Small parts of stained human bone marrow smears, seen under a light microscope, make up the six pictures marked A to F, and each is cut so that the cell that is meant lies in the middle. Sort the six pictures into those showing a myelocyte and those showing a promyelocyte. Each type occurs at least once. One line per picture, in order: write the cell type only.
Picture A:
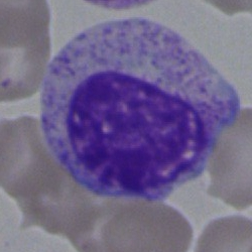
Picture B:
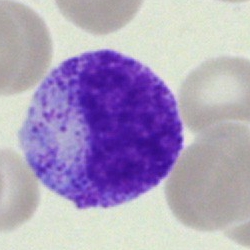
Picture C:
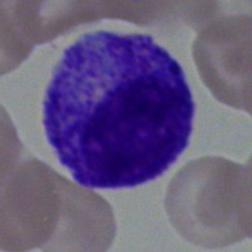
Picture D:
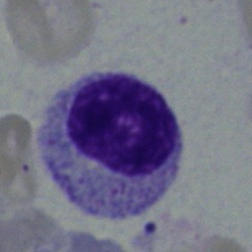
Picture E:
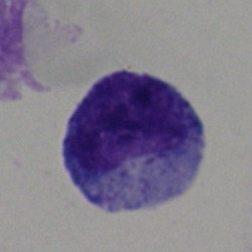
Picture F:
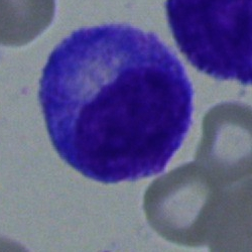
myelocyte
myelocyte
promyelocyte
myelocyte
promyelocyte
myelocyte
